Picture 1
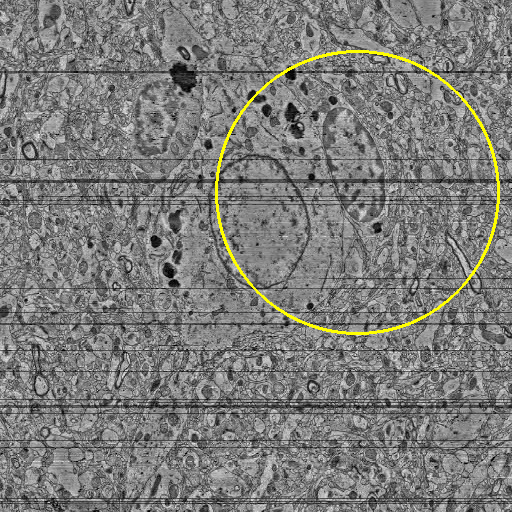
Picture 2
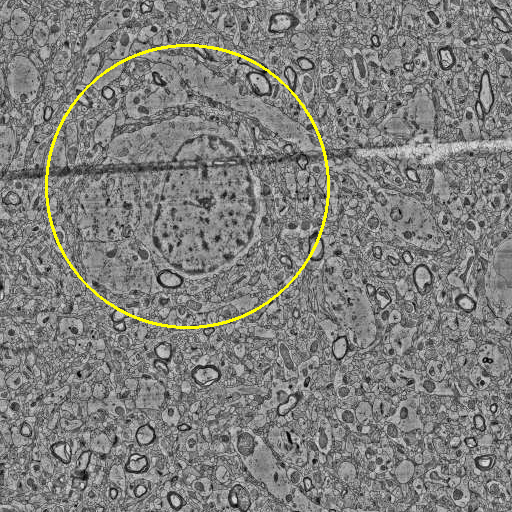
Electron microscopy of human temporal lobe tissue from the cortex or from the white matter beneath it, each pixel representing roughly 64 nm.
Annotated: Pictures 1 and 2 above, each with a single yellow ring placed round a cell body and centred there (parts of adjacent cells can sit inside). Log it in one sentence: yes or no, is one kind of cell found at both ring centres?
Yes, the ring centres of the two pictures hold cells of one kind.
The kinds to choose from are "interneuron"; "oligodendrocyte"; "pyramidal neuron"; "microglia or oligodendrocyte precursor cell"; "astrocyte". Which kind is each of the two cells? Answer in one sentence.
Both cells are the same kind, each one being a microglial cell or oligodendrocyte precursor cell.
